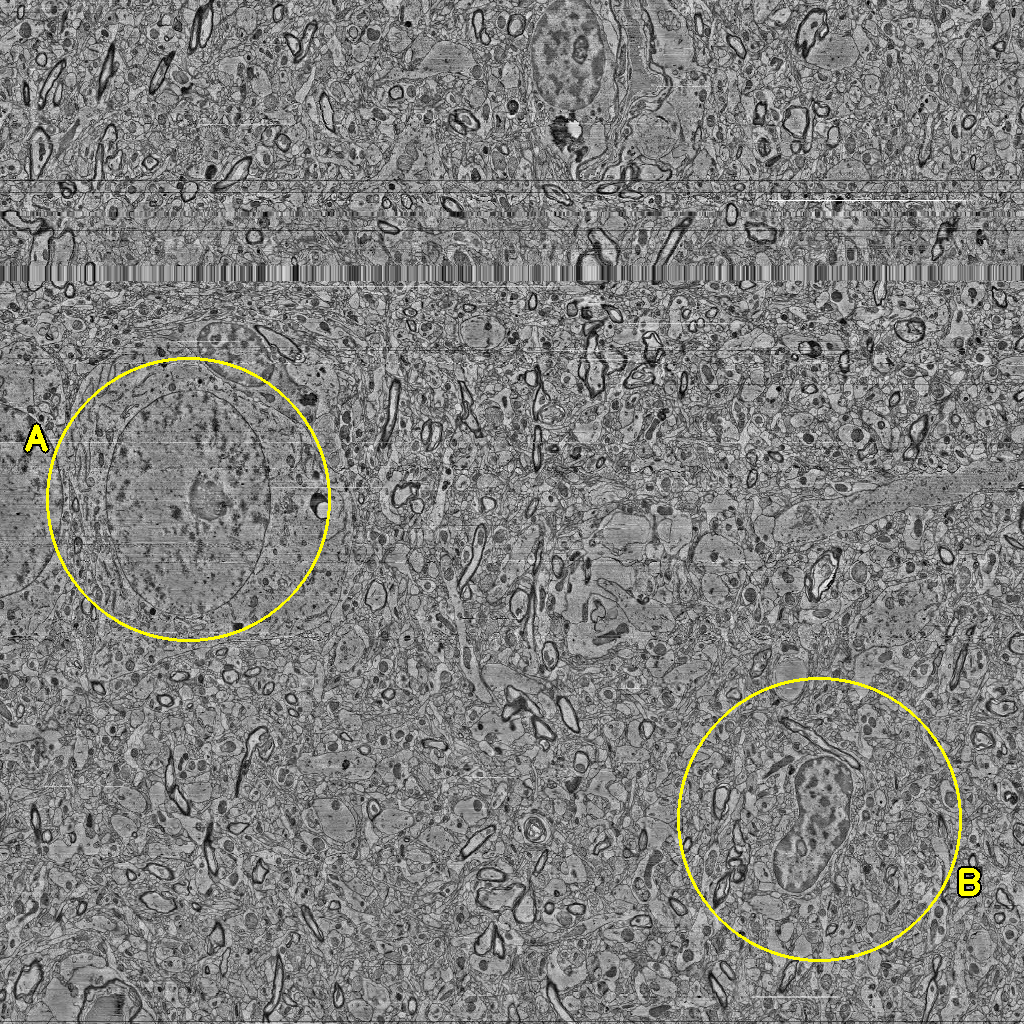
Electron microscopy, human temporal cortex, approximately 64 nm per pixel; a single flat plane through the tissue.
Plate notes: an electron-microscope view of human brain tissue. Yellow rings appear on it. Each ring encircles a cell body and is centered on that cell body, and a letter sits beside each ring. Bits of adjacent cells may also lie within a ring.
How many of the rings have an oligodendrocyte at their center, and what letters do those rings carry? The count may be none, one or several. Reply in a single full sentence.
Nowhere in the micrograph is a ring centred on an oligodendrocyte, and the count is zero.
